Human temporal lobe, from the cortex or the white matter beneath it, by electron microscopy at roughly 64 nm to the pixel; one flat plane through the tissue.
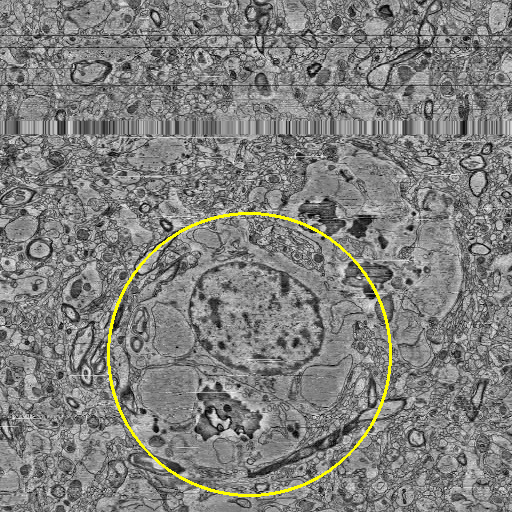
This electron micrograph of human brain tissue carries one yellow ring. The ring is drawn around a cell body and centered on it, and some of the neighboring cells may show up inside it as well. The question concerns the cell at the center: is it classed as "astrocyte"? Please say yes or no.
Yes, it is classed that way.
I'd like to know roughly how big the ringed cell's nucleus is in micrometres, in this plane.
About 9 by 7 micrometers for the nucleus, in this plane.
